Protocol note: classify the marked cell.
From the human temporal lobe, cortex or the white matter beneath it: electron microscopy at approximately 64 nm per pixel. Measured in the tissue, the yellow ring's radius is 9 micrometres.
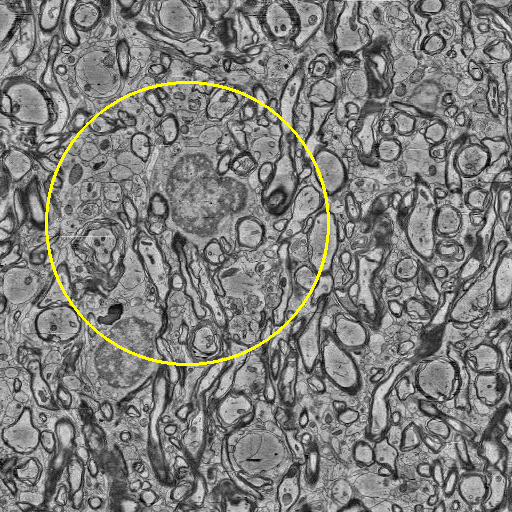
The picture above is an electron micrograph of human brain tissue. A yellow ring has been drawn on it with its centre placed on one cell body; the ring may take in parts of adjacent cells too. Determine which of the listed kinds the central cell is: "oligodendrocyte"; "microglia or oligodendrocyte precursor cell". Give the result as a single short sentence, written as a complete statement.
The central cell is an oligodendrocyte.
